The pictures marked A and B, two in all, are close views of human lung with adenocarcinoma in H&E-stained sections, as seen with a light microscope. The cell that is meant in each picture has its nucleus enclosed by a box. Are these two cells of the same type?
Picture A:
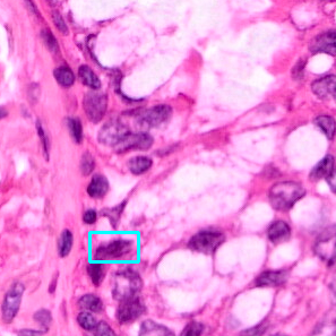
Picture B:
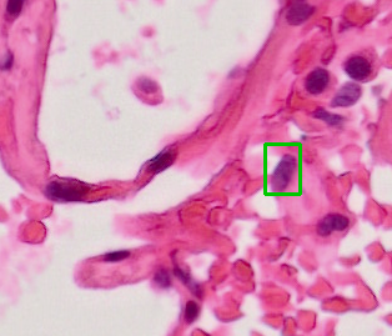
no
